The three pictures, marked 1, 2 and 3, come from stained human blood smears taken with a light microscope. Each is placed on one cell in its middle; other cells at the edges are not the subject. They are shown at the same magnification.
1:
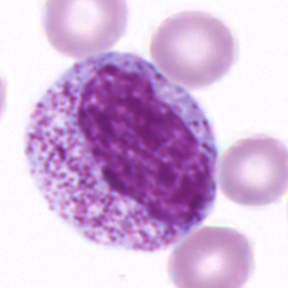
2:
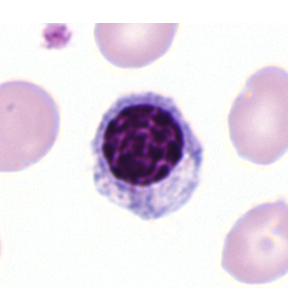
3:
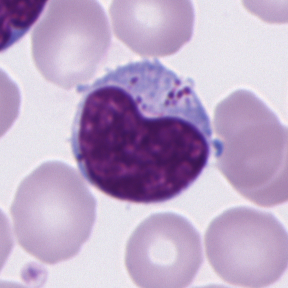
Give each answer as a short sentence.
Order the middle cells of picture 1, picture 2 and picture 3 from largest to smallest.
Largest first: 1, 3, 2.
